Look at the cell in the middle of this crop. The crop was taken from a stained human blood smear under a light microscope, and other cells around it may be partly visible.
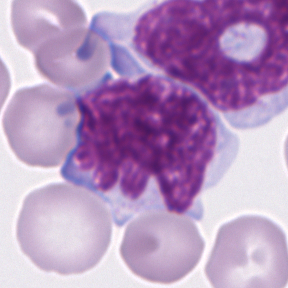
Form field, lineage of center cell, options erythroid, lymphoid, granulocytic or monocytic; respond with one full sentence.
The cell in the middle of the crop is considered part of the monocytic lineage.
